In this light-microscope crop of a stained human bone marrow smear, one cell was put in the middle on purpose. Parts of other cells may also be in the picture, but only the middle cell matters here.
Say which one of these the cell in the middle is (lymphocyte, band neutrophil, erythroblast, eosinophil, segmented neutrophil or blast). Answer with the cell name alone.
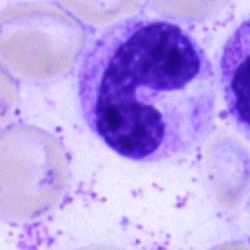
band neutrophil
